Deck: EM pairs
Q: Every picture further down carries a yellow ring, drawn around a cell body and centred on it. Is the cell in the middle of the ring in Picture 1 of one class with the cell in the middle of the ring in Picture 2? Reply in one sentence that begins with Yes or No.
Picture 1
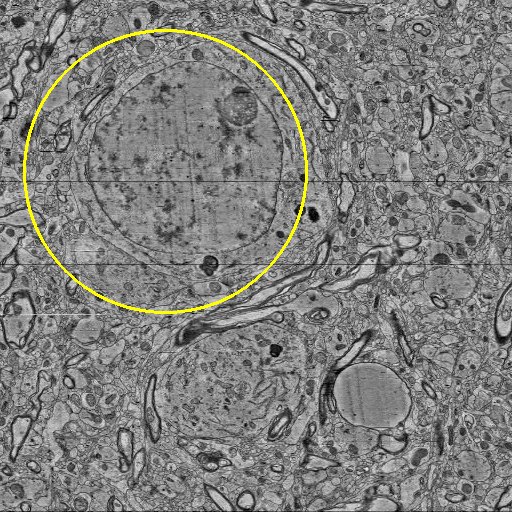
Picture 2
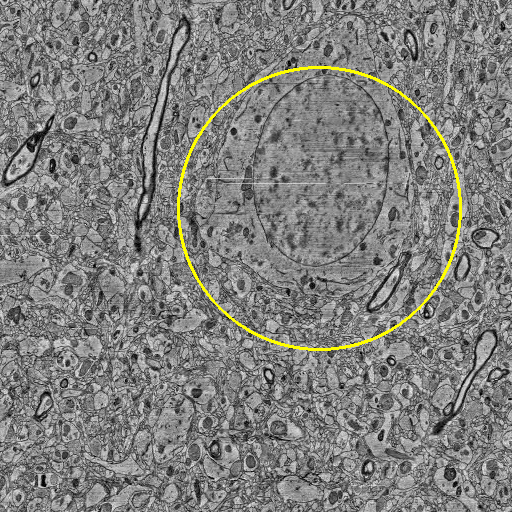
Yes, the cell centred in the ring of Picture 1 and the one in Picture 2 belong to one class.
